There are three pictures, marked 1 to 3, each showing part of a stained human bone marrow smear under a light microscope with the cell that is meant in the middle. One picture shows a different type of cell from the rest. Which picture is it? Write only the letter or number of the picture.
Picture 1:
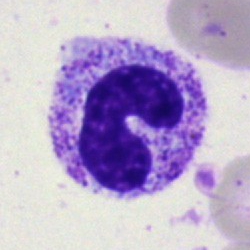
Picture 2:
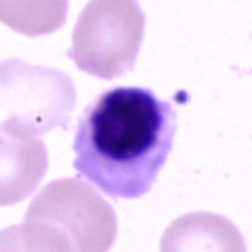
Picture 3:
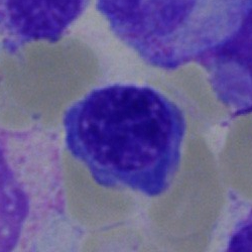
1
